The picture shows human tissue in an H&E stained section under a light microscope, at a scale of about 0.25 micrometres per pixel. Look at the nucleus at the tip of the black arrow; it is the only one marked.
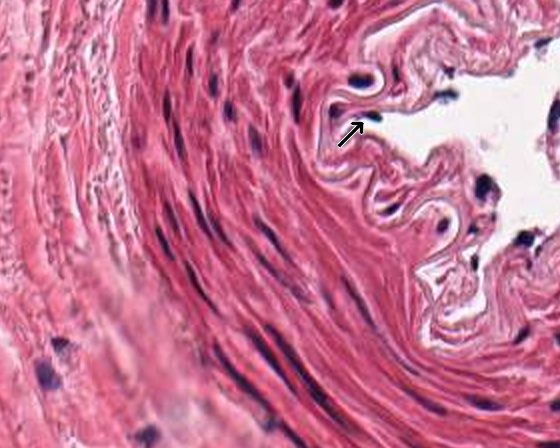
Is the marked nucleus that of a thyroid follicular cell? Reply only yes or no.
no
